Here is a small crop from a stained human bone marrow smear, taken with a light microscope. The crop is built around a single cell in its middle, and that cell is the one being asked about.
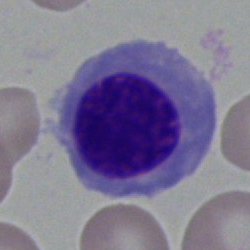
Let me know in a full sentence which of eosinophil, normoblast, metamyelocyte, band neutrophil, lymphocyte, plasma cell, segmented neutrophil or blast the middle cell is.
Standing at the centre of this crop is a normoblast.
